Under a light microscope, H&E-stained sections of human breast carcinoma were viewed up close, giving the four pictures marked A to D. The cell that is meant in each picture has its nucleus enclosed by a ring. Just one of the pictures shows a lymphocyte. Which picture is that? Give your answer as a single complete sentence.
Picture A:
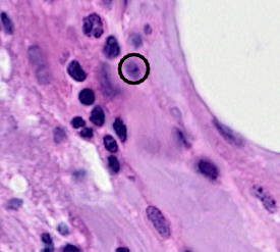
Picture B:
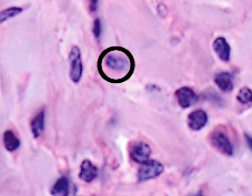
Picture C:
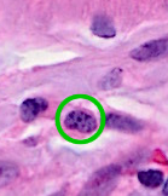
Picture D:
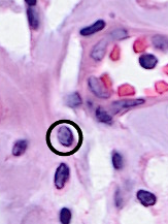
The picture with the lymphocyte is D.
